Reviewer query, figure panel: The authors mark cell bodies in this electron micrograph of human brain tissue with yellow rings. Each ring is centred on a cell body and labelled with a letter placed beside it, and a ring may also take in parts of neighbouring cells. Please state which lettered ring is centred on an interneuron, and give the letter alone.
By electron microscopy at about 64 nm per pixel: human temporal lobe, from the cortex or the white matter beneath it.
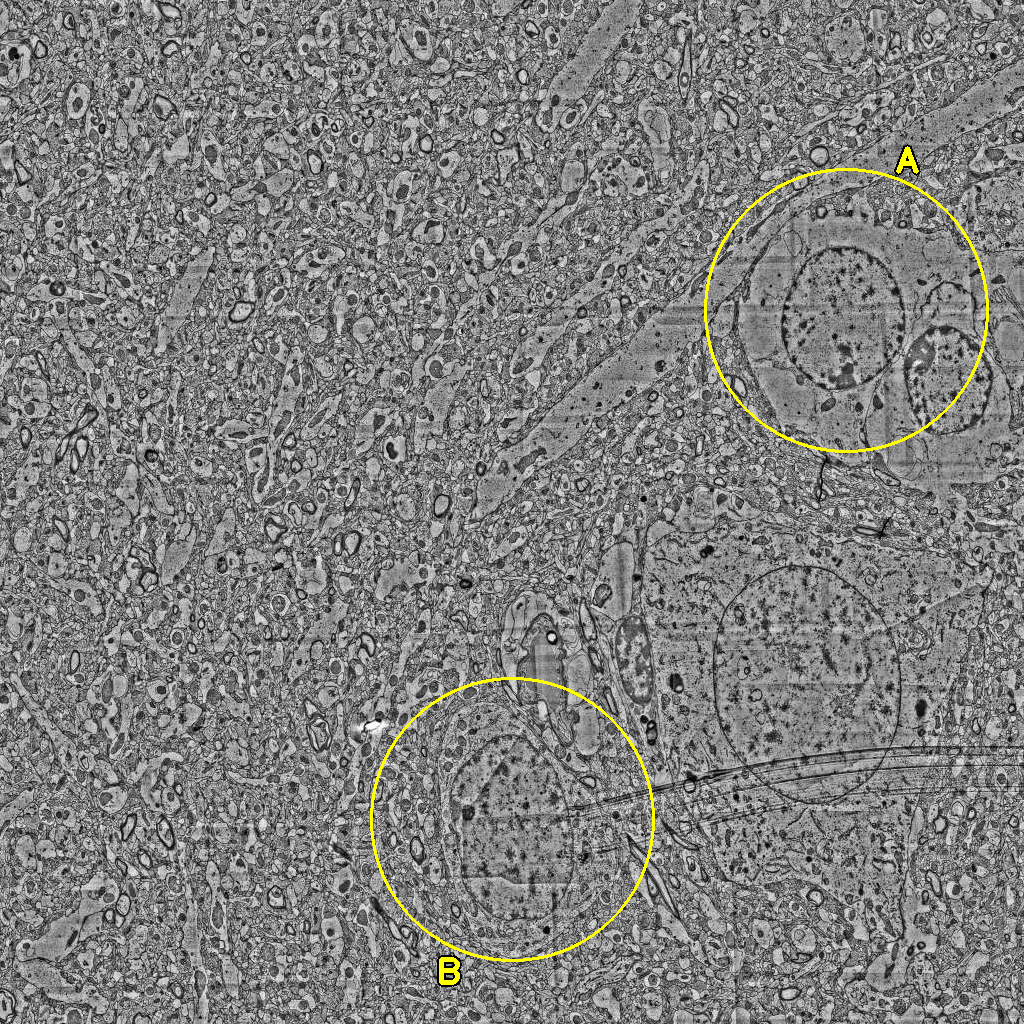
B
